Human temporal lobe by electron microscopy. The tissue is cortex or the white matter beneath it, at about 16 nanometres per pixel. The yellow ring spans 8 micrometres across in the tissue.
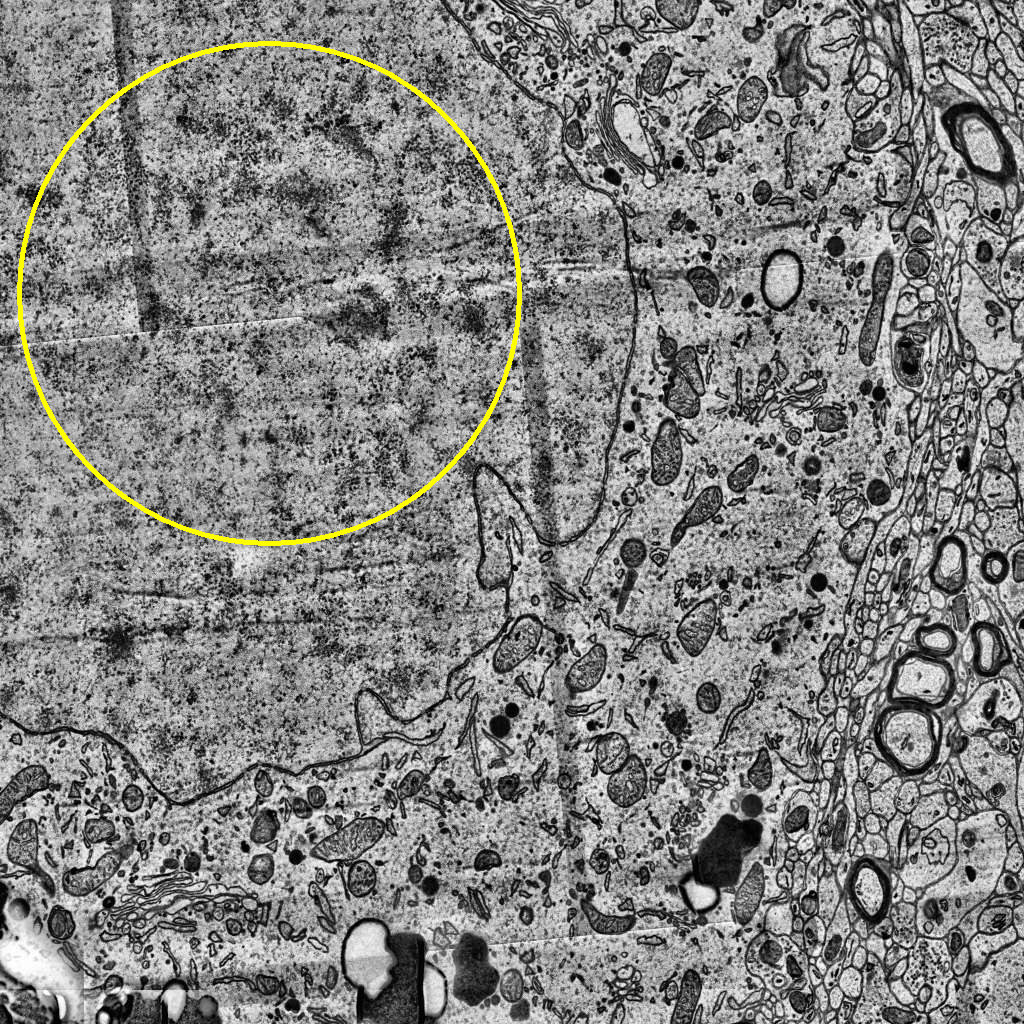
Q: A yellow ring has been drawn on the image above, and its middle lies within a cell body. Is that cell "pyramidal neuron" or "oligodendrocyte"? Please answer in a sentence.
The ring's middle lies in the cell body of a pyramidal neuron.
